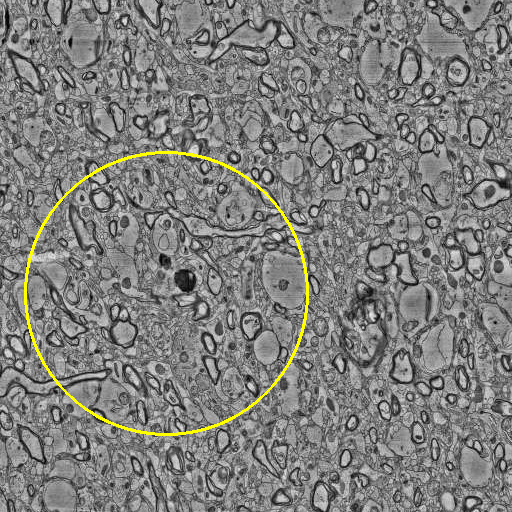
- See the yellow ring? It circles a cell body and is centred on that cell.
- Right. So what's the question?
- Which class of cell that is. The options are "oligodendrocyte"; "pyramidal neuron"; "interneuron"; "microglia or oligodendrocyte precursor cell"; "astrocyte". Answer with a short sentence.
The centre of the ring holds an oligodendrocyte.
